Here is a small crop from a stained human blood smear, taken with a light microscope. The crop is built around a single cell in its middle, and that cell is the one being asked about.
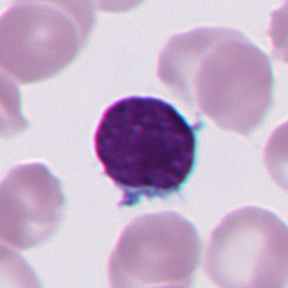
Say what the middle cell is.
typical lymphocyte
